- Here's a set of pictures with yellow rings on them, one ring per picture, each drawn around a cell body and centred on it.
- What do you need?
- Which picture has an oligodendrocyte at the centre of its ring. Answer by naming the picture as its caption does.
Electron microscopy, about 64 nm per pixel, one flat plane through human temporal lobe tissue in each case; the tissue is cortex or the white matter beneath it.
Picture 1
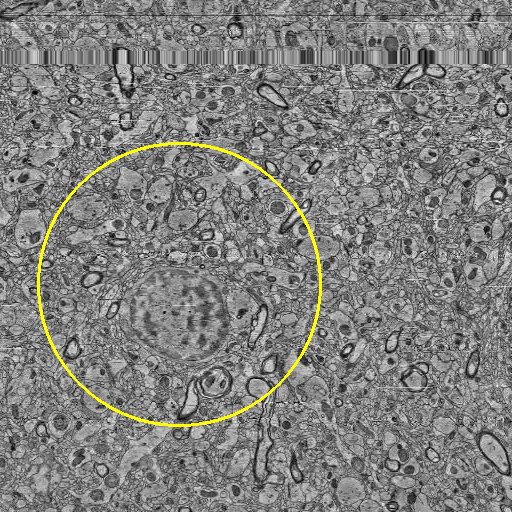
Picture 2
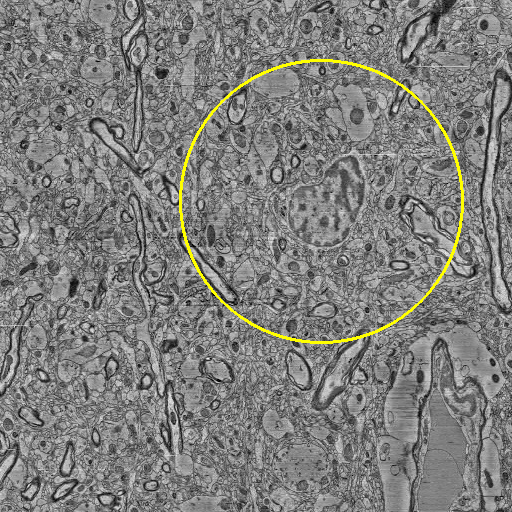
Picture 1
